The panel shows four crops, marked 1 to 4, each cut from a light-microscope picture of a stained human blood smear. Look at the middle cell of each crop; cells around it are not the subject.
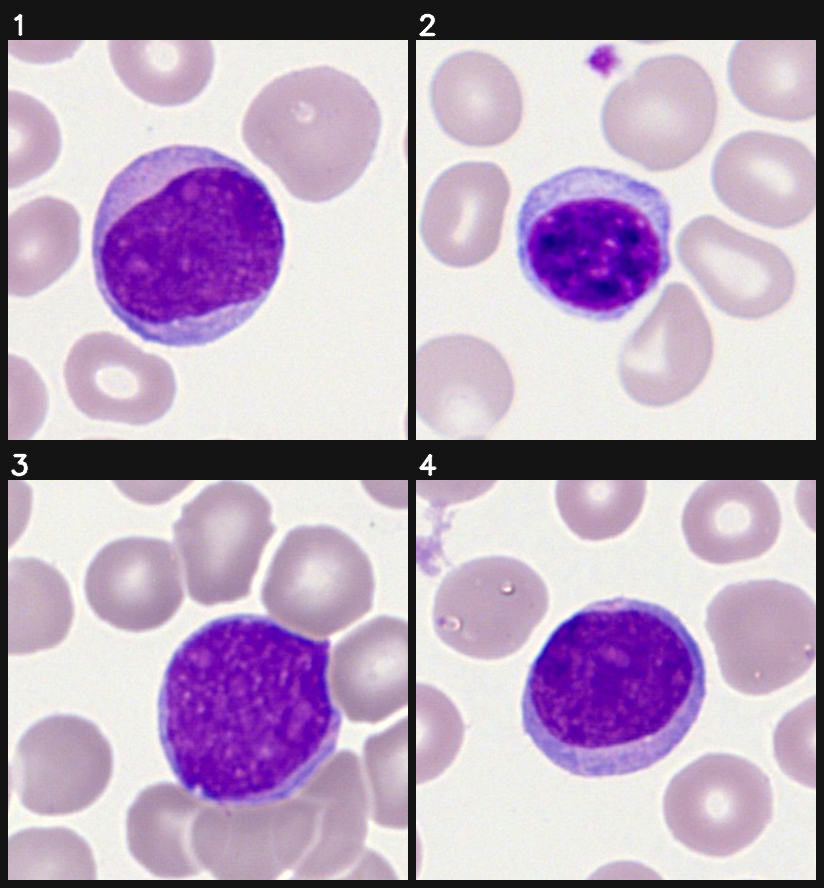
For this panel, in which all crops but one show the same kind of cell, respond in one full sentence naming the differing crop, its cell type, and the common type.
The exception is crop 2, with a lymphocyte; the remaining crops all show myeloblasts.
